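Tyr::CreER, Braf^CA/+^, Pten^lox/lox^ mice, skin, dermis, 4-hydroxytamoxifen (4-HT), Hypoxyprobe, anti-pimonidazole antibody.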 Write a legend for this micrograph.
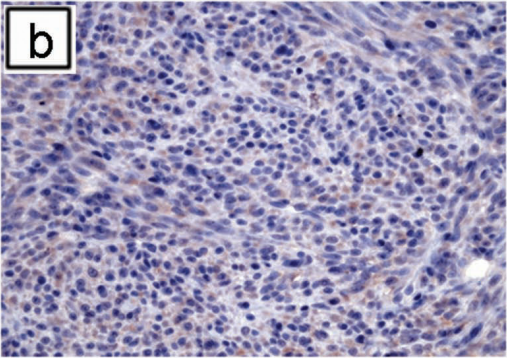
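This is a dense sheet of melanoma cells with blue-stained nuclei. The nuclei are crowded, oval to spindle-shaped, and in places run in streaming bundles. Many of the cells carry a faint, granular brown stain in their cytoplasm, while others are unstained, so the staining is patchy. Little stroma separates the tumor cells.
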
